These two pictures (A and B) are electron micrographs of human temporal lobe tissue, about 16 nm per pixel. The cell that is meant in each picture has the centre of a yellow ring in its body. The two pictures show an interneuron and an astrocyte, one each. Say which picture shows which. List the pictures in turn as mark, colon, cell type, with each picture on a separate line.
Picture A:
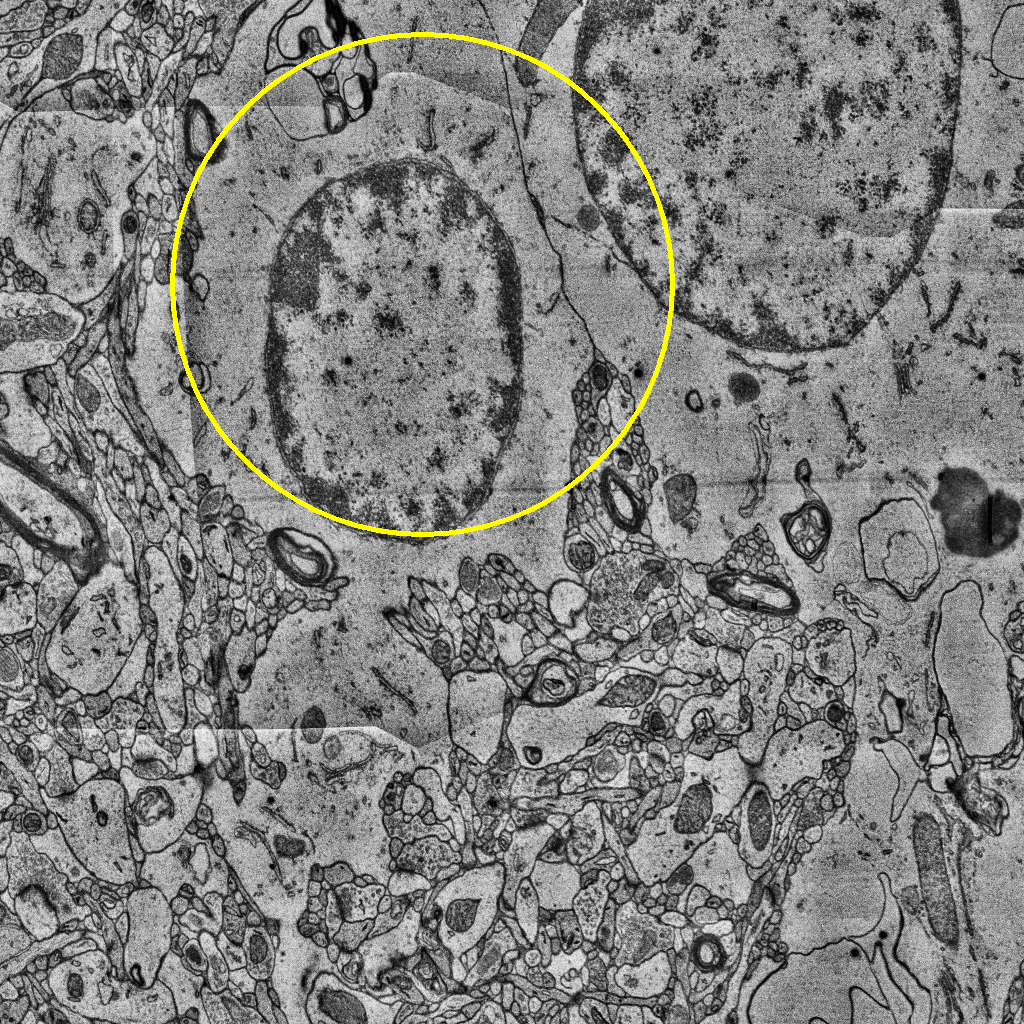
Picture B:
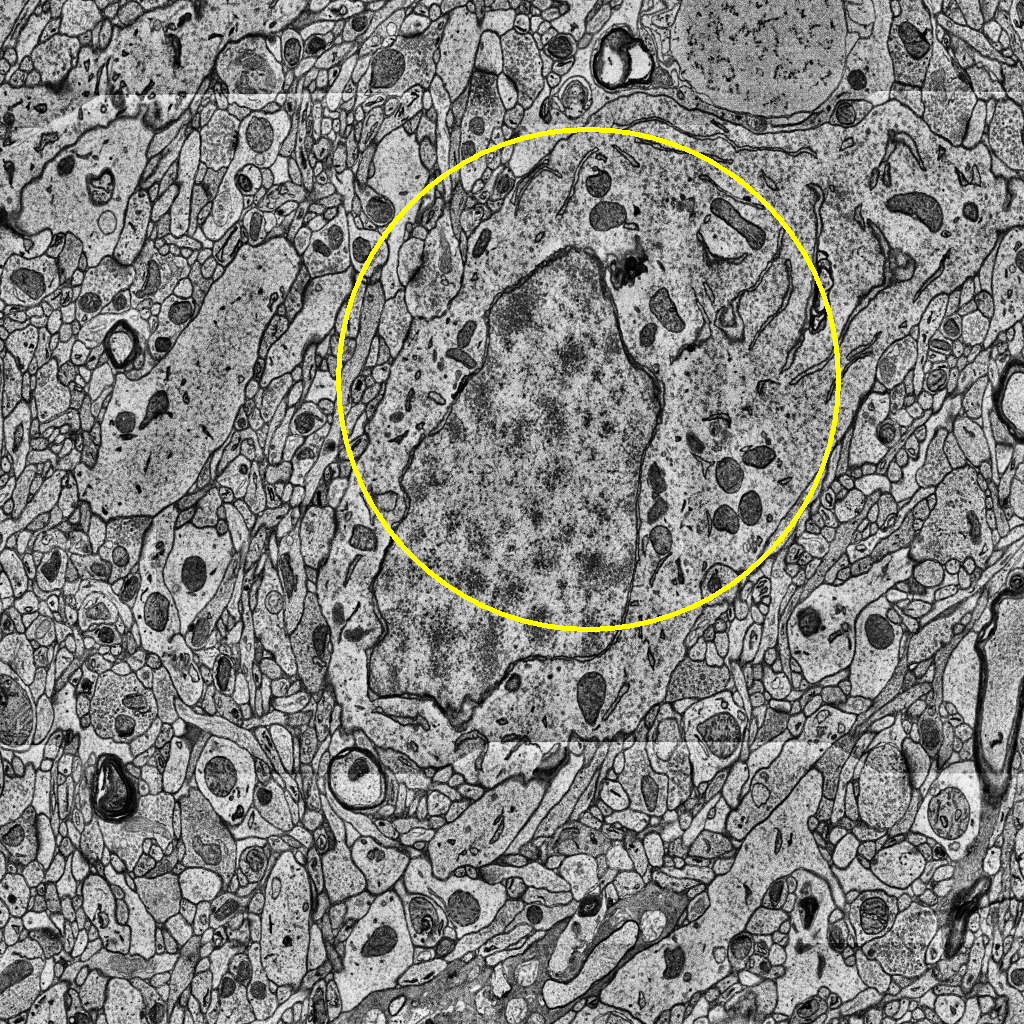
A: astrocyte
B: interneuron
